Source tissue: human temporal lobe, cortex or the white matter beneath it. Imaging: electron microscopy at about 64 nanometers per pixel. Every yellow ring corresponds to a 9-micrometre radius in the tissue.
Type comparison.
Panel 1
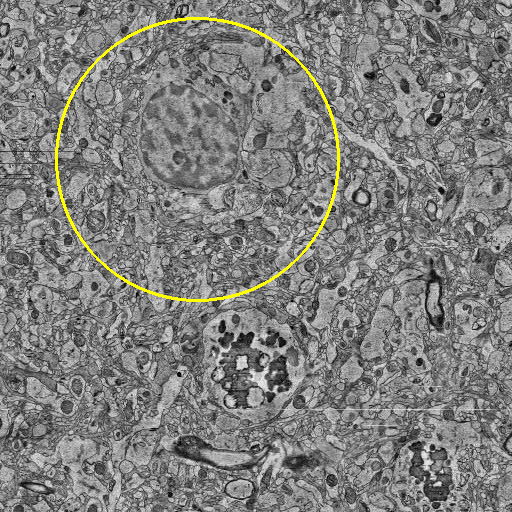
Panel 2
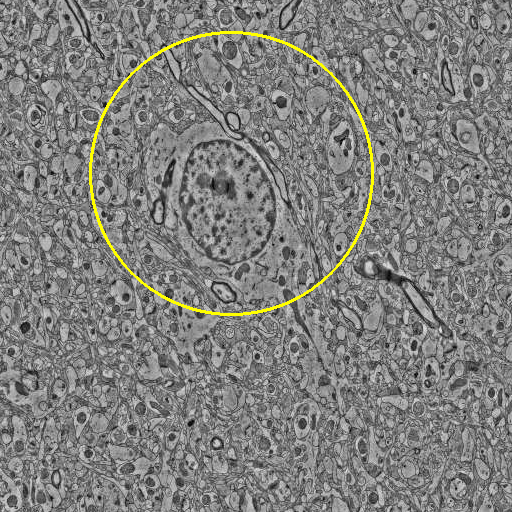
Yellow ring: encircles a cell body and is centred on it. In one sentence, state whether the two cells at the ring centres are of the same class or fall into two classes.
In these panels, the two cells at the ring centres fall into two classes.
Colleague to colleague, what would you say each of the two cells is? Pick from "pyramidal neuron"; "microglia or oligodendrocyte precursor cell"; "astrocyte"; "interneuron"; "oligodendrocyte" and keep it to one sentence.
The cell in the first picture is an oligodendrocyte; the second picture's cell is an astrocyte.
